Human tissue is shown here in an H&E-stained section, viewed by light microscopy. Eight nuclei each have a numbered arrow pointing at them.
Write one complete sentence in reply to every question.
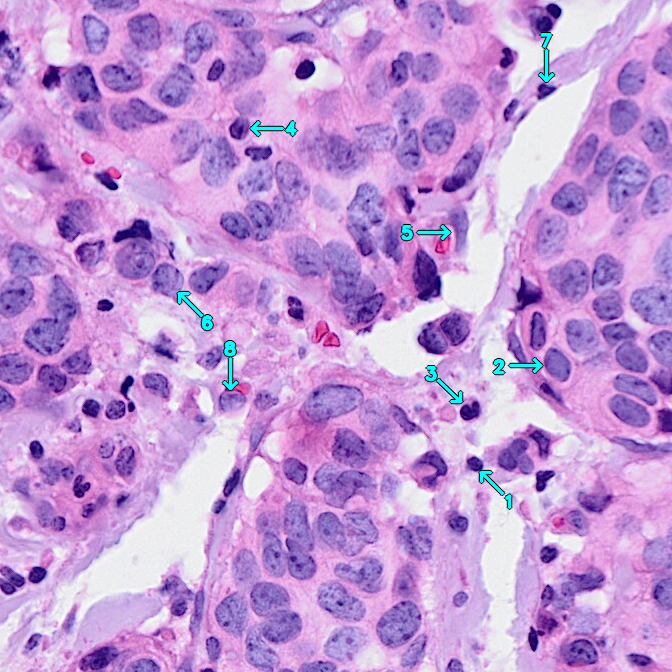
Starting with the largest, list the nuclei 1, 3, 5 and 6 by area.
Largest first, the order by area is 6, 5, 3, 1.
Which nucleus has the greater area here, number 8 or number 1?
Nucleus 8 covers more area, about 1.5 times as much as nucleus 1.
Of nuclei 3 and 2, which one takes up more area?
The larger nucleus is 2, at roughly 2 times the area of 3.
